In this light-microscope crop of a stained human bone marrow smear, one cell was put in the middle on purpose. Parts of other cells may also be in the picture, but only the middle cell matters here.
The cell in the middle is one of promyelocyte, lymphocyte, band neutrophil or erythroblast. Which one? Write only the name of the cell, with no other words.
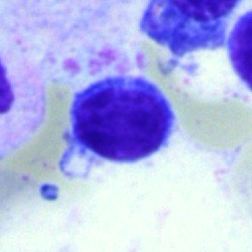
lymphocyte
